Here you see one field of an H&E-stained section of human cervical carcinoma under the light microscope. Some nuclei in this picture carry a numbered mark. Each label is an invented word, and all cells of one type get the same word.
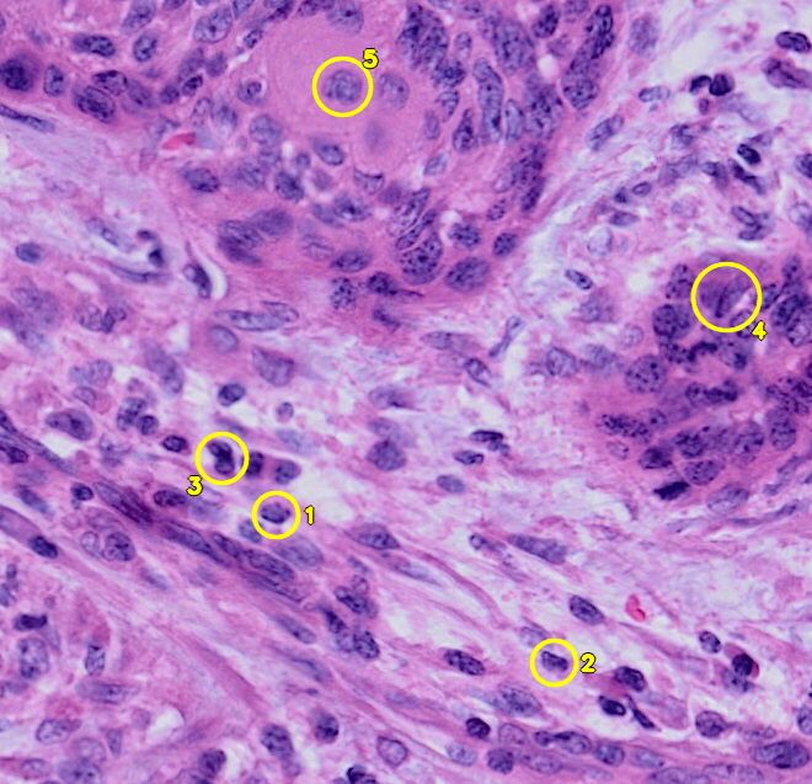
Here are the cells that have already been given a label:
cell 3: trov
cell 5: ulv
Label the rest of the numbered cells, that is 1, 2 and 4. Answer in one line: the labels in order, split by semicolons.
trov; trov; ulv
